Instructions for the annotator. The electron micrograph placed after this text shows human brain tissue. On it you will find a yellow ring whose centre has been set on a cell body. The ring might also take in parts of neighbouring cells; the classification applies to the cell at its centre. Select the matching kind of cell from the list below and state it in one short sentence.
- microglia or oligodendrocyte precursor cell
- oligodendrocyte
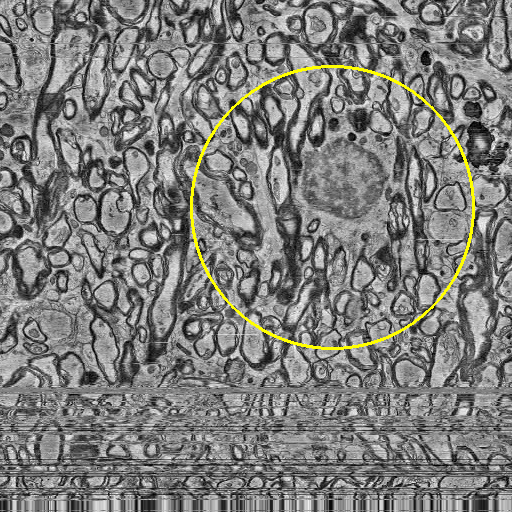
The ring is drawn on the cell body of an oligodendrocyte.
